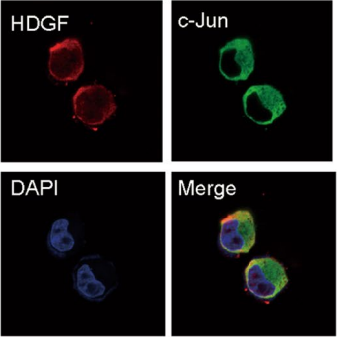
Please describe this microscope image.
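The red stain outlines each cell, brightest at the rim. The green stain fills the cytoplasm as a thick ring, leaving a darker region where the nucleus lies. In the overlay the cytoplasm appears yellow-green with red at the cell borders, and the blue nucleus sits within each cell.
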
